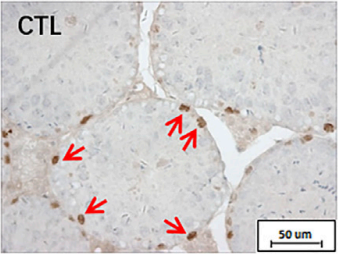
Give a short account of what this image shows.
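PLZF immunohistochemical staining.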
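This section of testis shows several seminiferous tubules with their nuclei counterstained pale blue. The rest of the germ cells filling the tubules remain unstained apart from the blue nuclei.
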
